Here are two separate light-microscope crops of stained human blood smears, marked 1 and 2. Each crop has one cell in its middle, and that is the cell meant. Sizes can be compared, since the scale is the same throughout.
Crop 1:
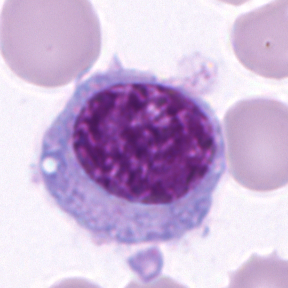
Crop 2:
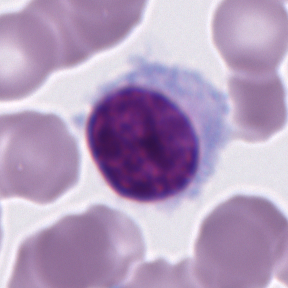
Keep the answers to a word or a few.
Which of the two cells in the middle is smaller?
2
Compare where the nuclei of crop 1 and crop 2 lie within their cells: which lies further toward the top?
1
